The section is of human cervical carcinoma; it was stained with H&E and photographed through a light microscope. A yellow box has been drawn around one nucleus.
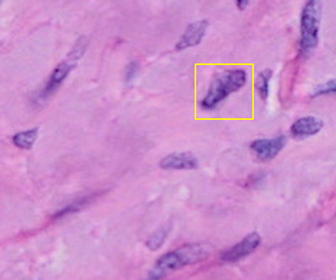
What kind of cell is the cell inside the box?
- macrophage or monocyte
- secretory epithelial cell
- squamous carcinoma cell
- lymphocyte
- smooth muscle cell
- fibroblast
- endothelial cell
fibroblast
